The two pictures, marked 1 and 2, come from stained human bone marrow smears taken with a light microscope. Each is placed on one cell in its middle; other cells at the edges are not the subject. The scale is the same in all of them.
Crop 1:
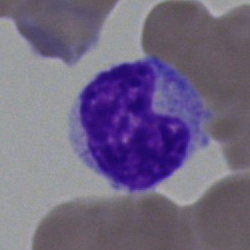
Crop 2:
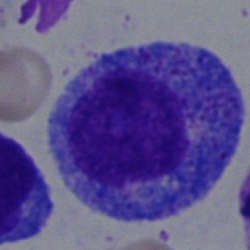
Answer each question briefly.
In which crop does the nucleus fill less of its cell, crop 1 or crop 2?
2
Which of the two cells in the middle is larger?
2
